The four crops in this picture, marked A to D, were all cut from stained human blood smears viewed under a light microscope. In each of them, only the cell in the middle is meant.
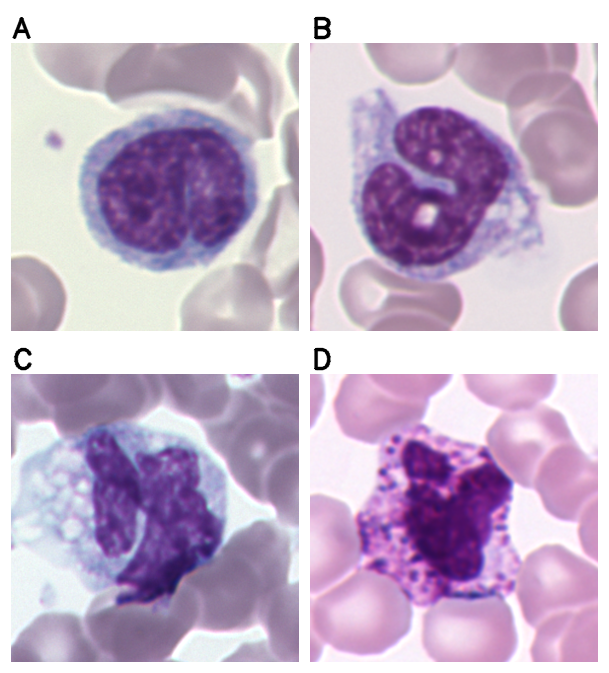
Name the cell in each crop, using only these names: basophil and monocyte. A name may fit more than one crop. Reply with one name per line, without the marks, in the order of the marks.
monocyte
monocyte
monocyte
basophil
